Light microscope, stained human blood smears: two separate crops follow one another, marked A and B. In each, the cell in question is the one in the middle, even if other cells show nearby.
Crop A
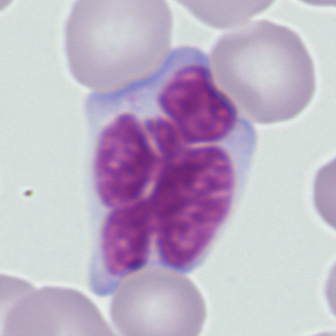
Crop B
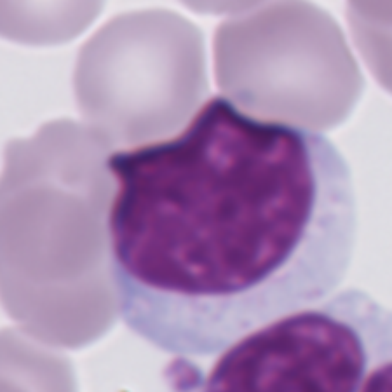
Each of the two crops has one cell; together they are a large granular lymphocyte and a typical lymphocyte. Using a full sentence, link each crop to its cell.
At the centre of crop A lies a typical lymphocyte, and at the centre of crop B lies a large granular lymphocyte.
